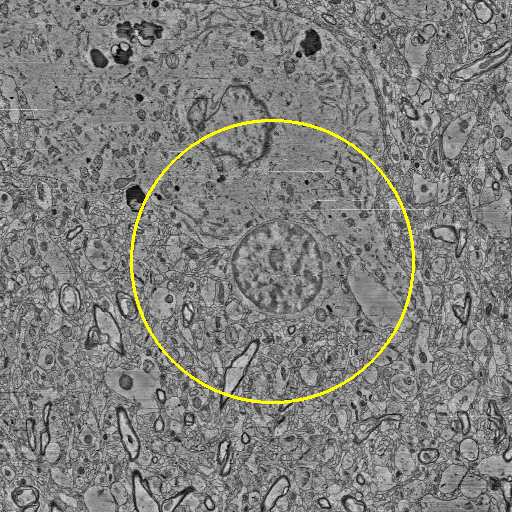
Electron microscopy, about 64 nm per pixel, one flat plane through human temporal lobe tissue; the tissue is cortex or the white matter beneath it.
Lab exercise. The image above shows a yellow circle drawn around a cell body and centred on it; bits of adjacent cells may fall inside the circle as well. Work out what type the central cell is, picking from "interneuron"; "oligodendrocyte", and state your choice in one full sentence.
In the image above, the cell at the centre of the yellow circle is an oligodendrocyte.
